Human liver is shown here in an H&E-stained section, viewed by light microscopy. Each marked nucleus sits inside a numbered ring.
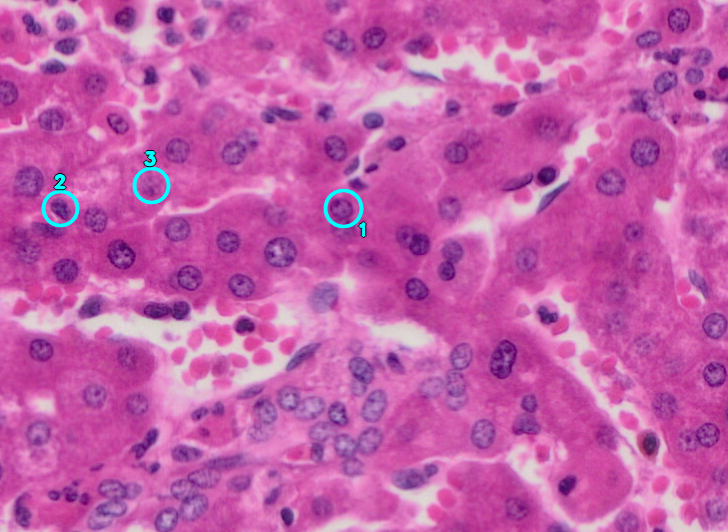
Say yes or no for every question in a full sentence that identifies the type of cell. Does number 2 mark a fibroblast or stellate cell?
Yes, the cell that bears number 2 is a fibroblast or stellate cell.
